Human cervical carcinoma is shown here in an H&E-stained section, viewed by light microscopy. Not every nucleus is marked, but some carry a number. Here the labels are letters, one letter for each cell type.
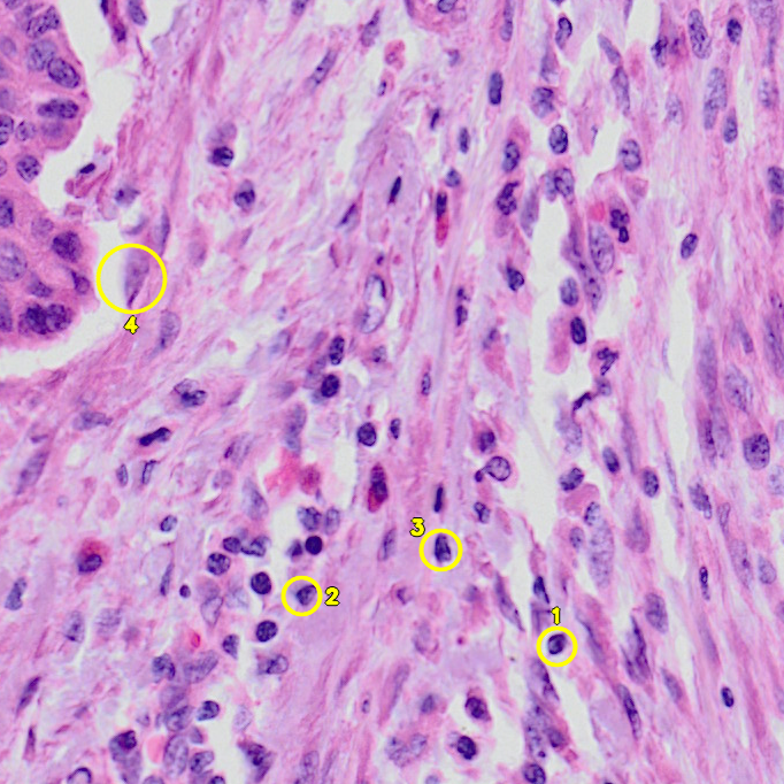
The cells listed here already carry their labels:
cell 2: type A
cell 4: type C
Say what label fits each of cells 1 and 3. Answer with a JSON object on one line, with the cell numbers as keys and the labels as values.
{"1": "type A", "3": "type A"}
